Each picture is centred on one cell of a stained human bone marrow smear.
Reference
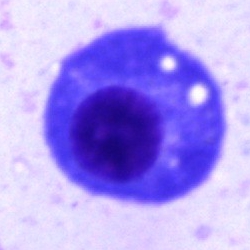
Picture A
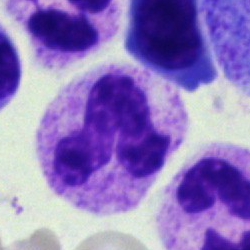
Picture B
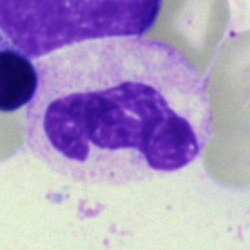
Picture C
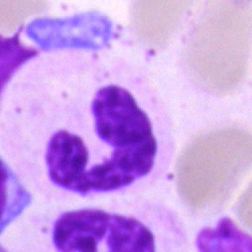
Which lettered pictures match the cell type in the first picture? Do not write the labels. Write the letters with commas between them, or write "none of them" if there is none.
none of them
